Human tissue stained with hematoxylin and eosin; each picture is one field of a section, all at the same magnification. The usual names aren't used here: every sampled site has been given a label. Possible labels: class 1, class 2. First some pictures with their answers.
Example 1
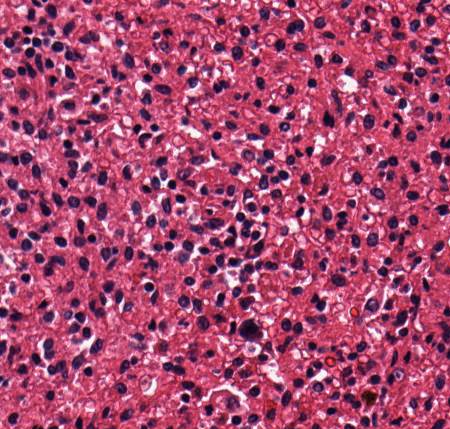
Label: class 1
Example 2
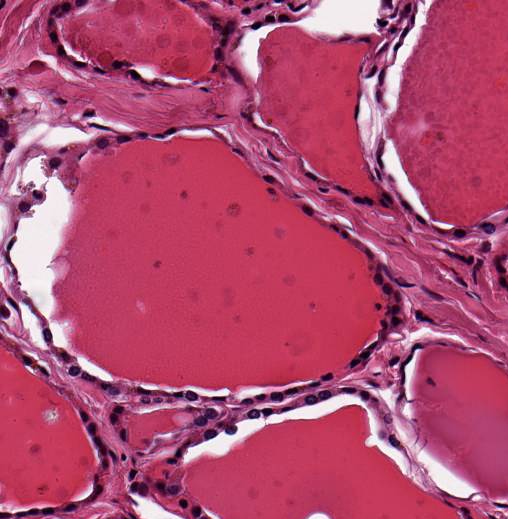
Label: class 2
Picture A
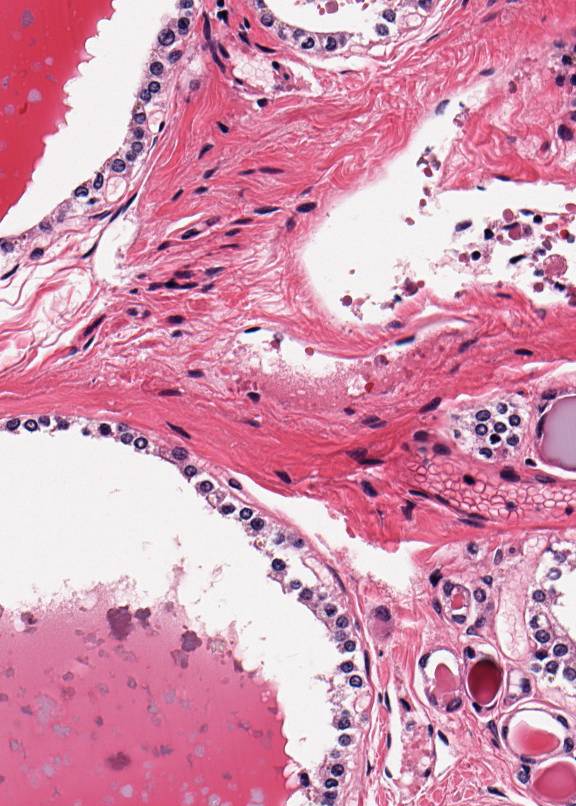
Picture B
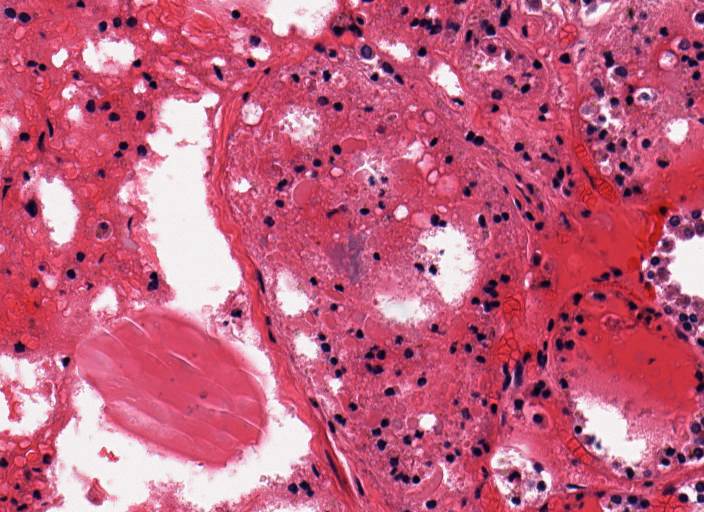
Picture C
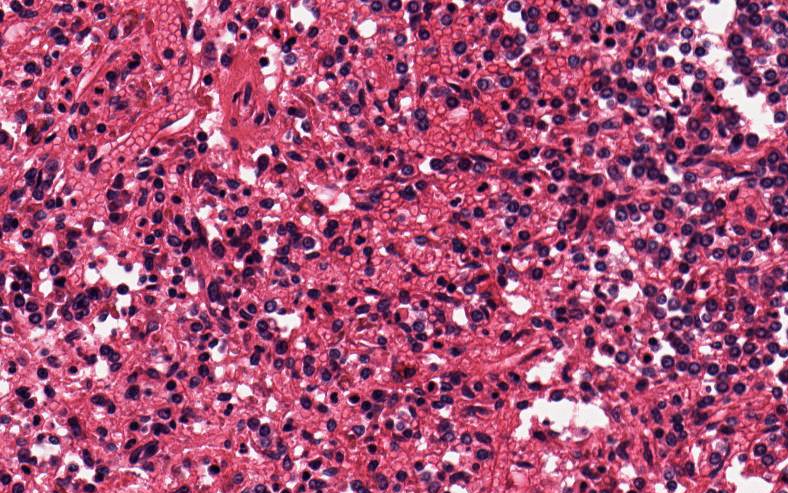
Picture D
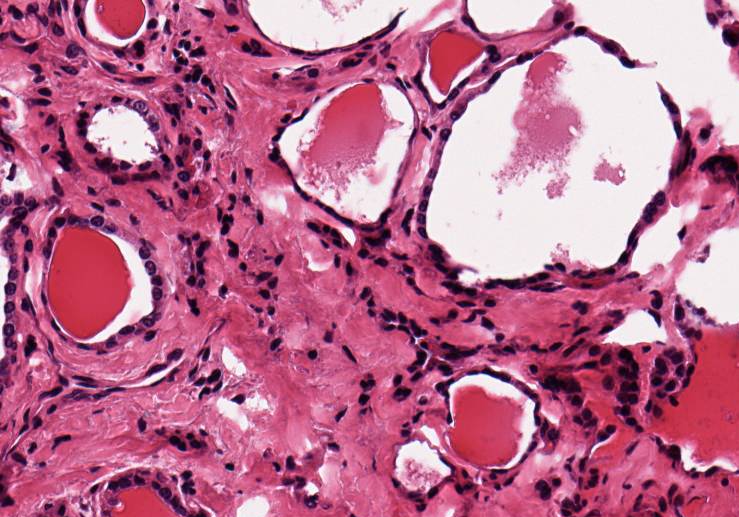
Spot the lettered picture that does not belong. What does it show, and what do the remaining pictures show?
Different: C, class 1. Others: class 2.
